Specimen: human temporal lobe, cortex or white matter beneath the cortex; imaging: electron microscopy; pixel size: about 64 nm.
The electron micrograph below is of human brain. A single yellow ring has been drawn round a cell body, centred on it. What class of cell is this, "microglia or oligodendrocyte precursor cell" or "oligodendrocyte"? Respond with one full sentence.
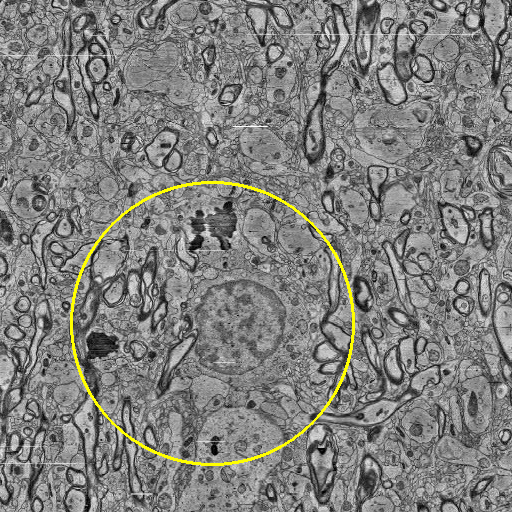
In the micrograph, the cell centred inside the yellow ring is an oligodendrocyte.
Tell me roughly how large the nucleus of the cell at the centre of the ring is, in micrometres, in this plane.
The nucleus is approximately 6 micrometers across in this plane.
